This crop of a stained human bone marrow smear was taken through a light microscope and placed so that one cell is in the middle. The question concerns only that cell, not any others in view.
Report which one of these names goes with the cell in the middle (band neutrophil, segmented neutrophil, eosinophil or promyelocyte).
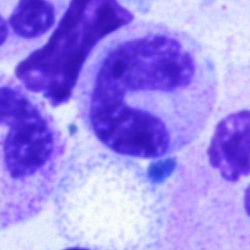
band neutrophil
